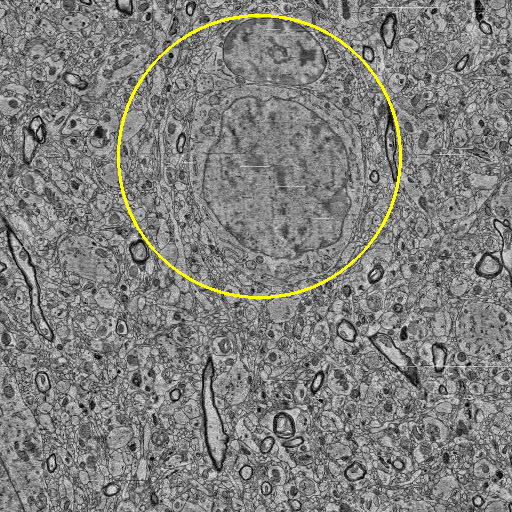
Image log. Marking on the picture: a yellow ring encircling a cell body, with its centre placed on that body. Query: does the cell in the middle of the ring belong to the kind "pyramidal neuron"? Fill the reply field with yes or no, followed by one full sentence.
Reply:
No, the cell at the centre of the yellow ring in this picture belongs to a different kind.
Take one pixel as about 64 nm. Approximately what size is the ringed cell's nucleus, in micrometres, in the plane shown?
The nucleus works out at approximately 11 by 9 micrometres in this plane.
